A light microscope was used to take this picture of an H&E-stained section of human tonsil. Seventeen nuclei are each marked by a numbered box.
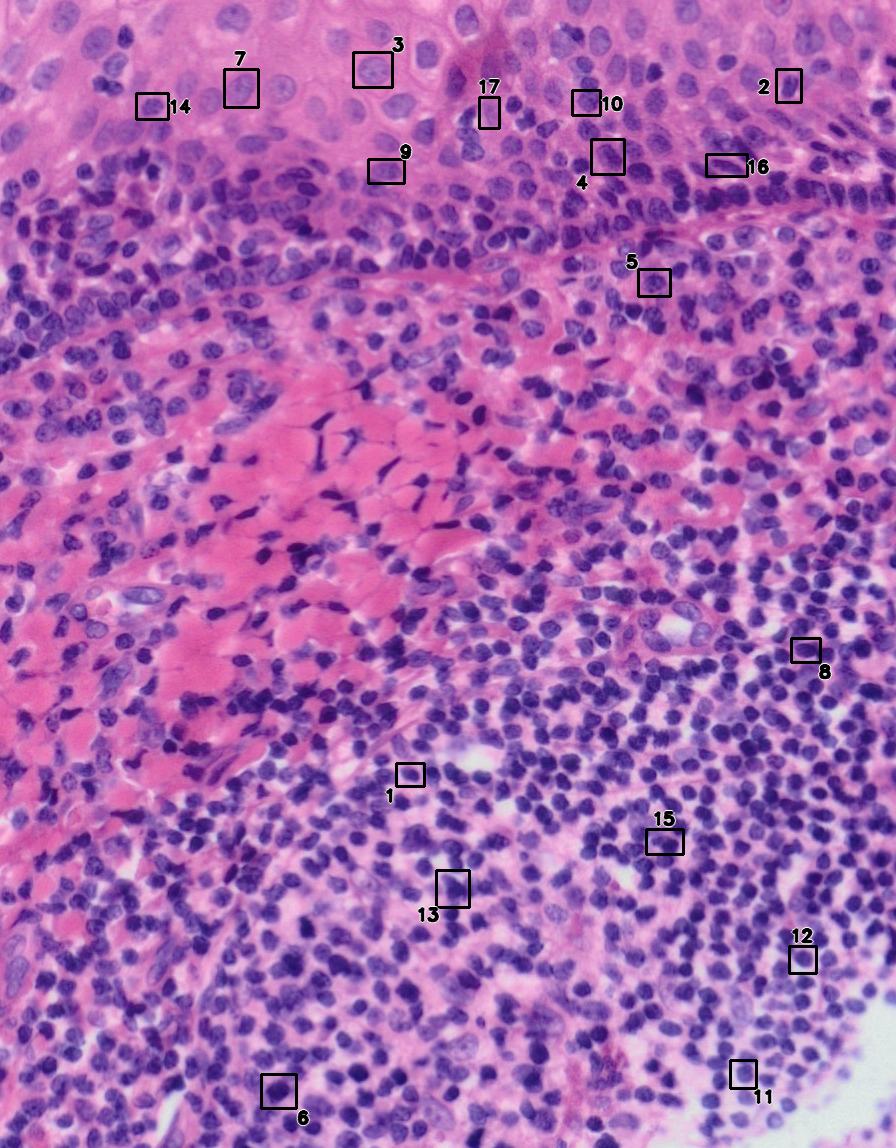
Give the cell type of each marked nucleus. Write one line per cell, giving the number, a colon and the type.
1: small lymphocyte
2: squamous epithelial cell
3: squamous epithelial cell
4: squamous epithelial cell
5: plasma cell
6: proliferating B cell
7: squamous epithelial cell
8: small lymphocyte
9: squamous epithelial cell
10: squamous epithelial cell
11: small lymphocyte
12: small lymphocyte
13: proliferating B cell
14: squamous epithelial cell
15: small lymphocyte
16: squamous epithelial cell
17: squamous epithelial cell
